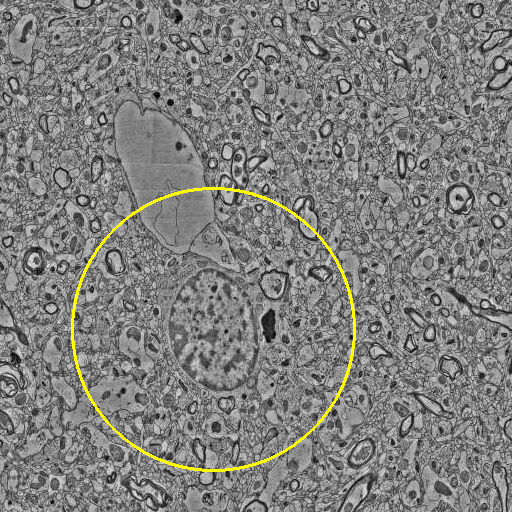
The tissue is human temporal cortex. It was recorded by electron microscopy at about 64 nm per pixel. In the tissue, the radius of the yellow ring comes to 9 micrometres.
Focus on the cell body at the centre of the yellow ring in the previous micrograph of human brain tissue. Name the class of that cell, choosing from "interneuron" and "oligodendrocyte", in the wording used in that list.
oligodendrocyte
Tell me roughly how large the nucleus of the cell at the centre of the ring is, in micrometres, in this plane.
In this plane, the nucleus is roughly 8 by 6 micrometres.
